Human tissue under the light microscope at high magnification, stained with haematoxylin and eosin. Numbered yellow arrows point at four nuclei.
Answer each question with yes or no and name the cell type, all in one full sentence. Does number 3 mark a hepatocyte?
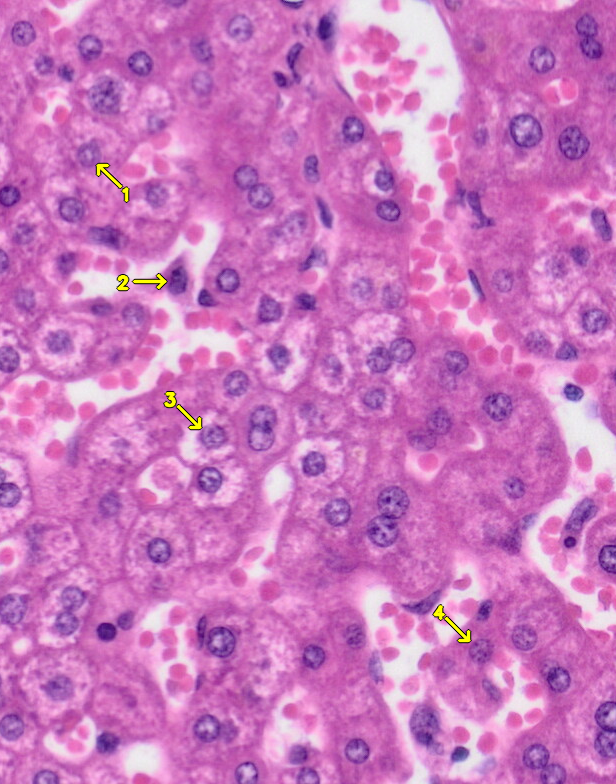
Yes, number 3 is assigned to a cell that is a hepatocyte.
